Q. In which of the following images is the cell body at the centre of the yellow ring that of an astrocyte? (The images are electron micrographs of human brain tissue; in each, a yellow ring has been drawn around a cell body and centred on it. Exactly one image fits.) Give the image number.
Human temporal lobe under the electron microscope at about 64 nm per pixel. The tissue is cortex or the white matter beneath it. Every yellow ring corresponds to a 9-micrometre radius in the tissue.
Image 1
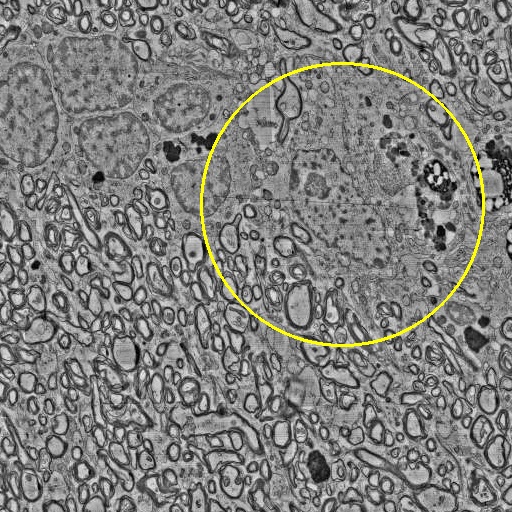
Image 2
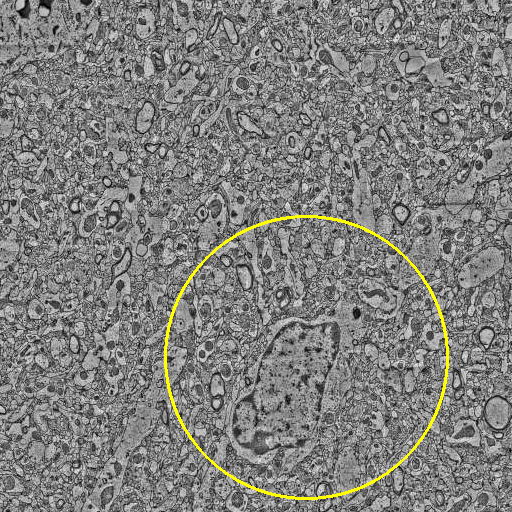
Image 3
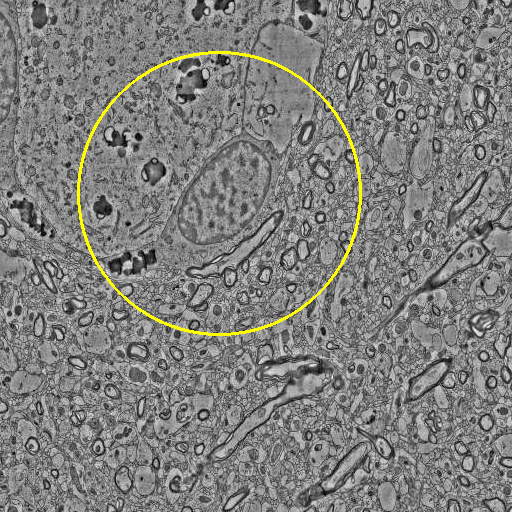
1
